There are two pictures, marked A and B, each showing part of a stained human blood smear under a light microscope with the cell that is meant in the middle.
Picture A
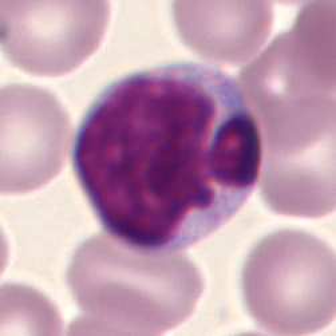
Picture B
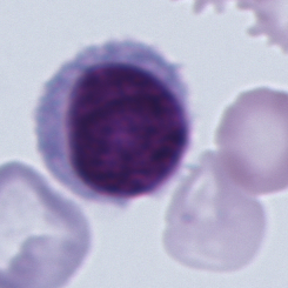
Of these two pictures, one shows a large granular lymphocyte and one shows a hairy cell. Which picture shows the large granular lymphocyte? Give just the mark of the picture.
A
